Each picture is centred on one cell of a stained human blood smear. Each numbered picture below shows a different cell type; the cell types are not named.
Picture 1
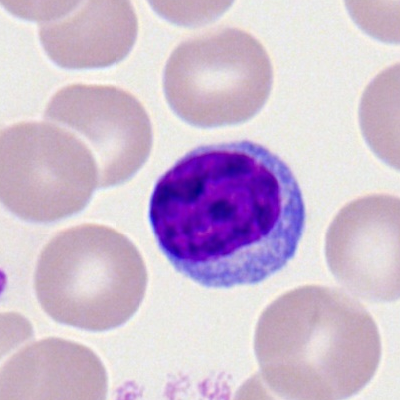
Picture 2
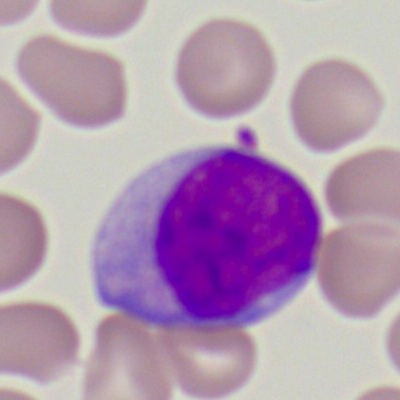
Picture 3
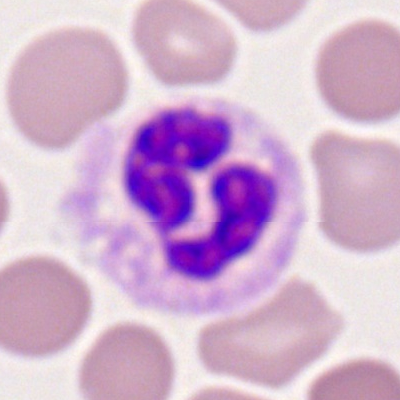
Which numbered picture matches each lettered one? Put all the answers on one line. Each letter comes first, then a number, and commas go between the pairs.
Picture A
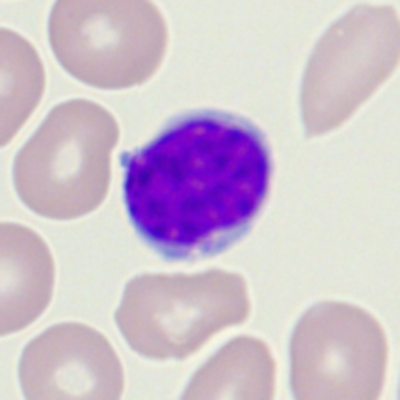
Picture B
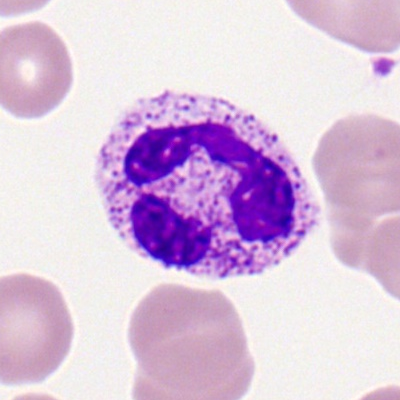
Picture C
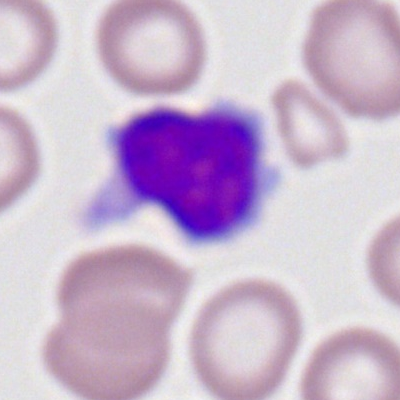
A 1, B 3, C 1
